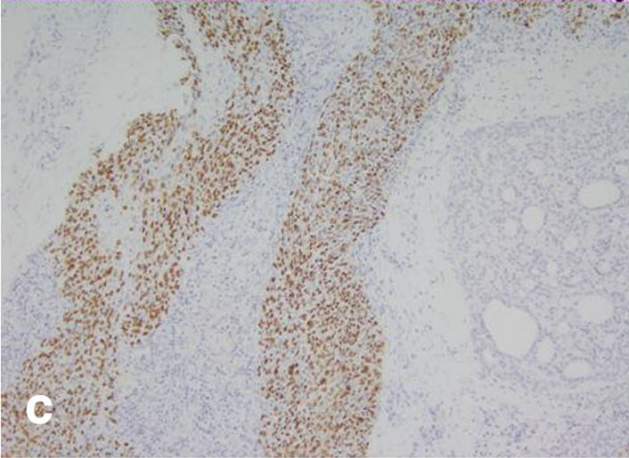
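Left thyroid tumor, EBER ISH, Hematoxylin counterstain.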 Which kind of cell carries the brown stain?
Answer: malignant epithelial cells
